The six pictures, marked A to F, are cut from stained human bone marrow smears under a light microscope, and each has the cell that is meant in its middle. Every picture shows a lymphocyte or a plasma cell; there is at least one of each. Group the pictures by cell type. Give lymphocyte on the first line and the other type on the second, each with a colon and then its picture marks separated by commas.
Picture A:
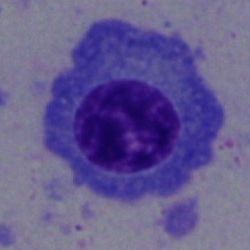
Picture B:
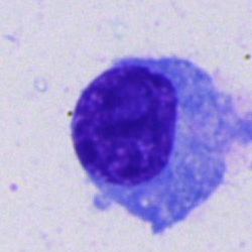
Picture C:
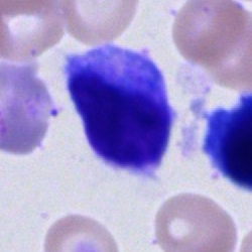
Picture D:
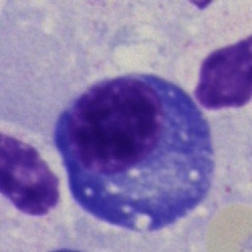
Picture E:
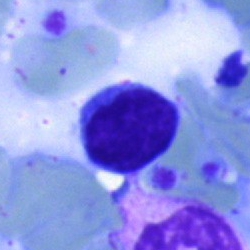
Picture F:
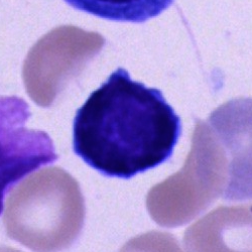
lymphocyte: C, E, F
plasma cell: A, B, D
